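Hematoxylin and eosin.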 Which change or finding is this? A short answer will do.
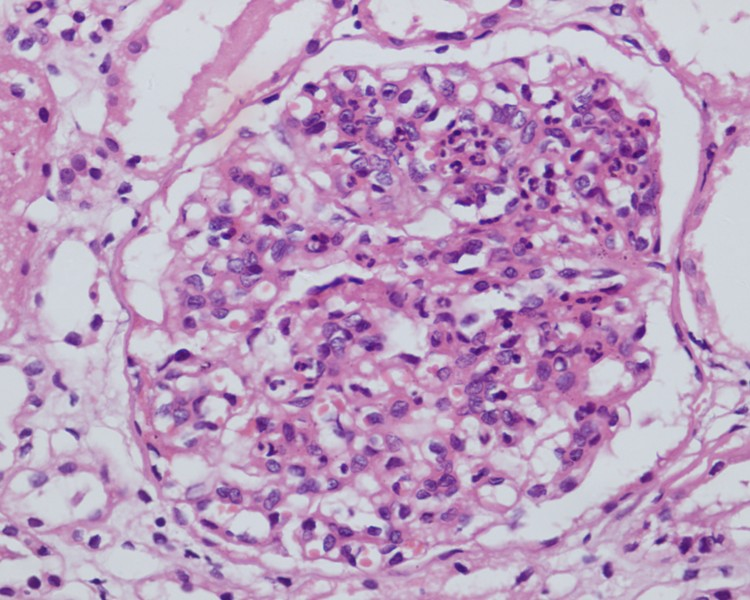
endocapillary proliferation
